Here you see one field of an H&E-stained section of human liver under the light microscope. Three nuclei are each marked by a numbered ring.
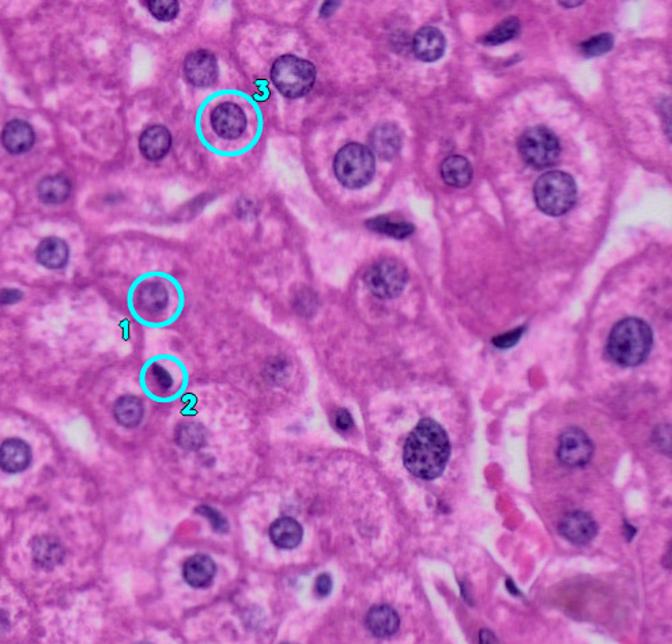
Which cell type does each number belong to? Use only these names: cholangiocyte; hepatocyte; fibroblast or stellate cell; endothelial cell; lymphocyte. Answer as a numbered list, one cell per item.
1. hepatocyte
2. endothelial cell
3. hepatocyte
